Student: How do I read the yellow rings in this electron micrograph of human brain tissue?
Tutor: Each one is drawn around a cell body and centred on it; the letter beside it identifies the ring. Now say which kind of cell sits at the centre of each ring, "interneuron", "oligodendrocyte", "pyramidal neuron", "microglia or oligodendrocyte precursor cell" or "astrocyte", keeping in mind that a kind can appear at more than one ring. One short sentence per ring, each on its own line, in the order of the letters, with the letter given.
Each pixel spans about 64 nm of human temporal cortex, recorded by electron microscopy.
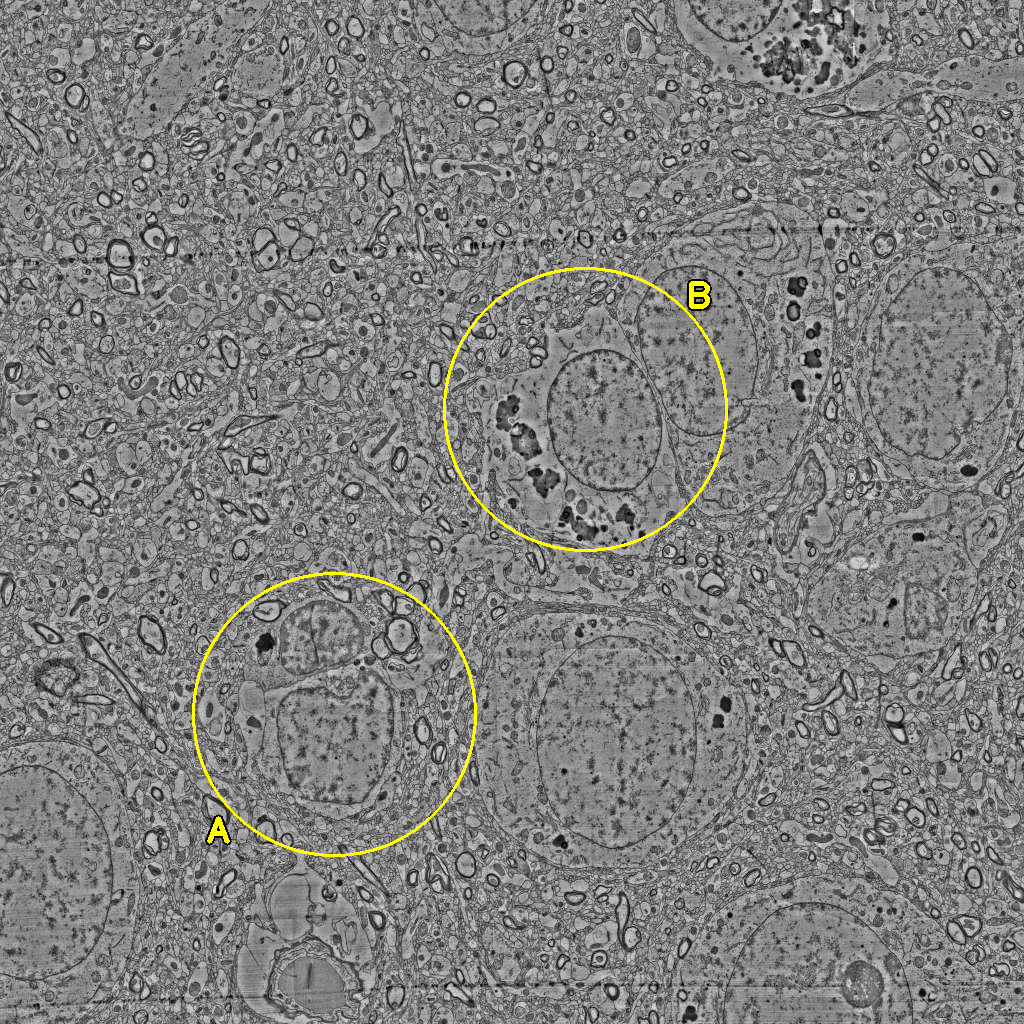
In the centre of ring A is an interneuron.
In the centre of ring B is an astrocyte.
